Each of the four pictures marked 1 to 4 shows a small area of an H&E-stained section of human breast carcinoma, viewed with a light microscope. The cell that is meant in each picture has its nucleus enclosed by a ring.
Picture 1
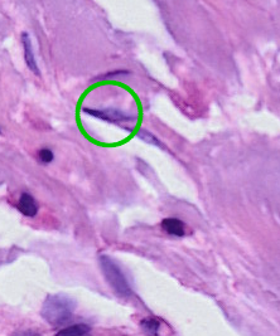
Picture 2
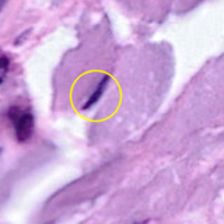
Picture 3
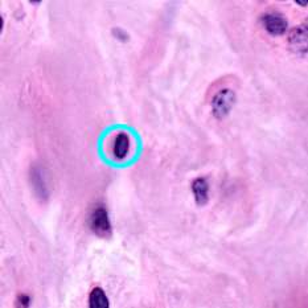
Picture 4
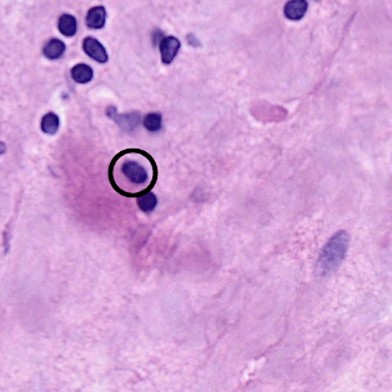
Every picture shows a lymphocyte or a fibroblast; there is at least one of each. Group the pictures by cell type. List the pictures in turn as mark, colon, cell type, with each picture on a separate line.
1: fibroblast
2: fibroblast
3: lymphocyte
4: lymphocyte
